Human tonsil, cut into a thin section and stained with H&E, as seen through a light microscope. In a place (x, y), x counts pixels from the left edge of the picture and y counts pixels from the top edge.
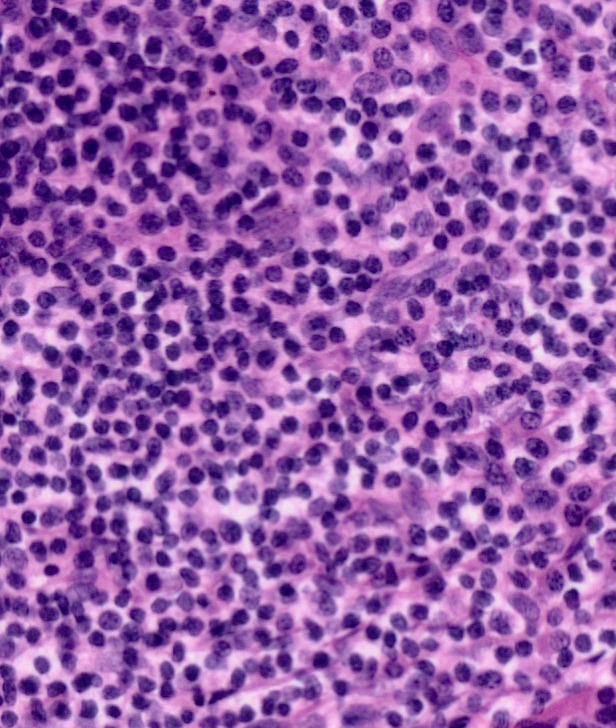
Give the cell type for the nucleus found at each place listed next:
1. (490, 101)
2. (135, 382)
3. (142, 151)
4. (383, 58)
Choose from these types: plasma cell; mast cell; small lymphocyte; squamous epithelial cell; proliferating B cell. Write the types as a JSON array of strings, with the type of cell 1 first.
["plasma cell", "small lymphocyte", "plasma cell", "plasma cell"]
